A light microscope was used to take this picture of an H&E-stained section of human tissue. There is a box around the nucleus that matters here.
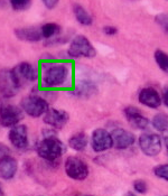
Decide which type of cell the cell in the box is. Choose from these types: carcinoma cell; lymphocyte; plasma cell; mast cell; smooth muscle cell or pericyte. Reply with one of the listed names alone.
lymphocyte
